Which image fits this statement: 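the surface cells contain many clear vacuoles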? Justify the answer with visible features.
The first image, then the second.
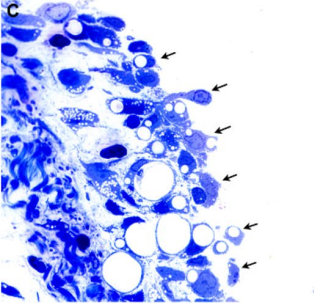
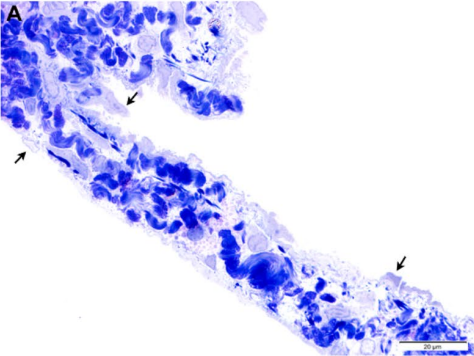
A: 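First image: cells at the surface are filled with many clear round spaces of varied size. Second image: the thin surface cells show no clear round spaces. The answer: the first image.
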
